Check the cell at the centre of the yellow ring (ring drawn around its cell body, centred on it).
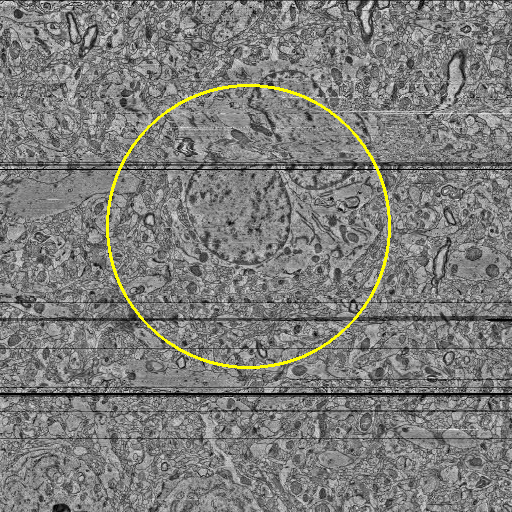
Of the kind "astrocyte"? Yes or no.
yes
